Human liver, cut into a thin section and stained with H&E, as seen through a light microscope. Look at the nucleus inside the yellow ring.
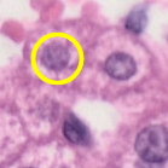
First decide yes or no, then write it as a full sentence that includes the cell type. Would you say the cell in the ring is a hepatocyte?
Yes, the claim that the cell in the ring is a hepatocyte holds true.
